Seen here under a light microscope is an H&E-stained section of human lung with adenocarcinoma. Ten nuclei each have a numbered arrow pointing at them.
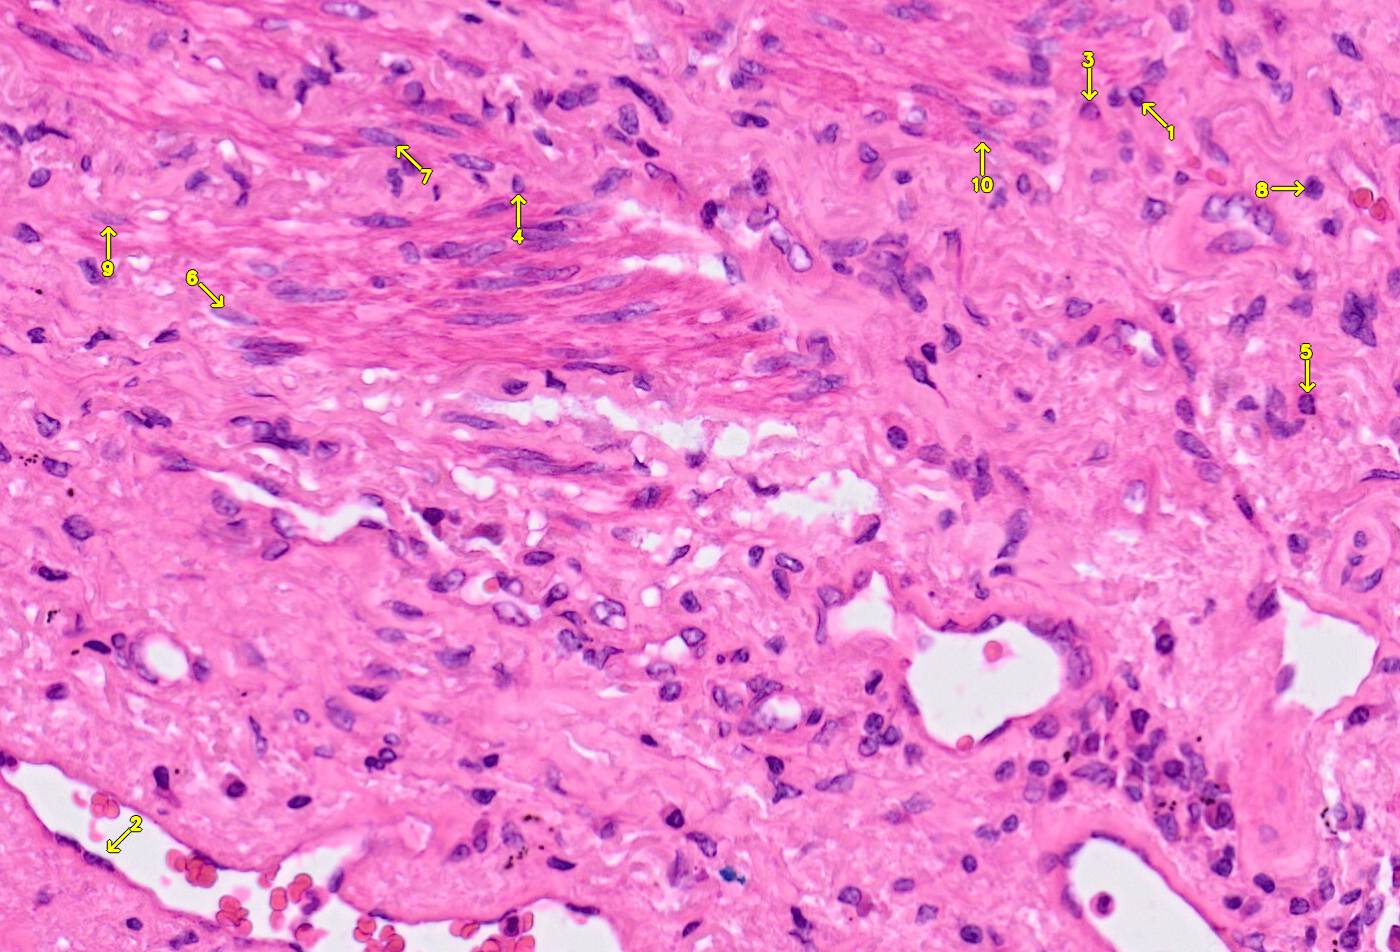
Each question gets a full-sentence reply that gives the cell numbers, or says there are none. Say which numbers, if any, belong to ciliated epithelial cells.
The numbered cells do not include any ciliated epithelial cells.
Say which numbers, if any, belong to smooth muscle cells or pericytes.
Identification: the cells with numbers 4, 6, 7, 9 and 10 are smooth muscle cells or pericytes.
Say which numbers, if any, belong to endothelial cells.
Cell 2 is an endothelial cell; every other numbered cell is something else.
